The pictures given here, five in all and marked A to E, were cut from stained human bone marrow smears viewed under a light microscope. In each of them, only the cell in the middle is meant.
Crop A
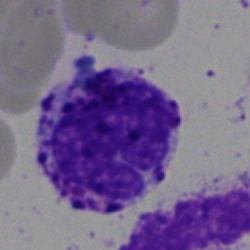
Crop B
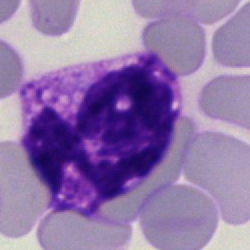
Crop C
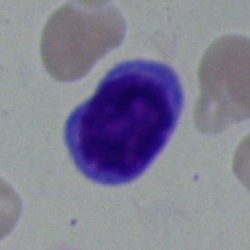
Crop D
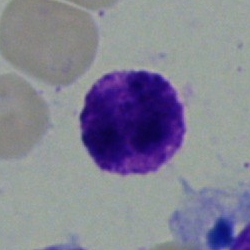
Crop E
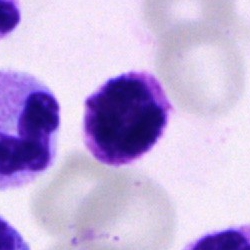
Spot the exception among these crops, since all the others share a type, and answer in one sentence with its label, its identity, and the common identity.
The exception in this group is crop C, a lymphocyte, and the others are all basophils.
